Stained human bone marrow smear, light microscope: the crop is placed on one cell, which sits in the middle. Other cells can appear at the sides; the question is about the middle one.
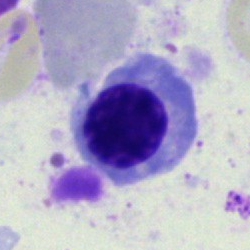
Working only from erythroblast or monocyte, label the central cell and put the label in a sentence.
Positioned in the middle of the crop is an erythroblast.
